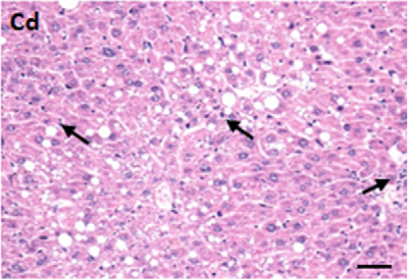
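This is liver tissue with cords of polygonal hepatocytes stained pink, with round, centrally placed purple nuclei, separated by narrow pale sinusoids. Scattered between the hepatocytes are small, dark, densely stained nuclei, pointed out by arrows, marking infiltrating inflammatory cells. A small vessel with a rounded lumen lies in the lower part of the field.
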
